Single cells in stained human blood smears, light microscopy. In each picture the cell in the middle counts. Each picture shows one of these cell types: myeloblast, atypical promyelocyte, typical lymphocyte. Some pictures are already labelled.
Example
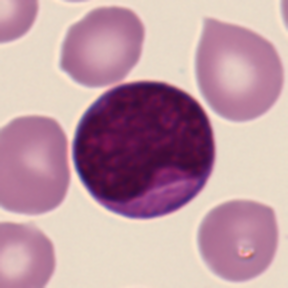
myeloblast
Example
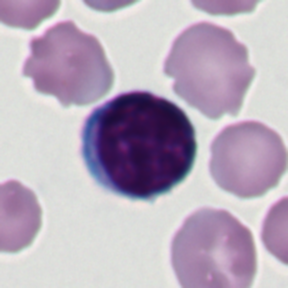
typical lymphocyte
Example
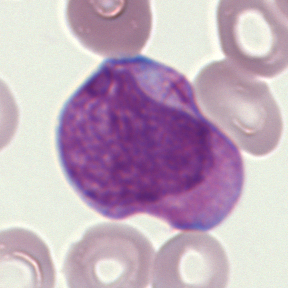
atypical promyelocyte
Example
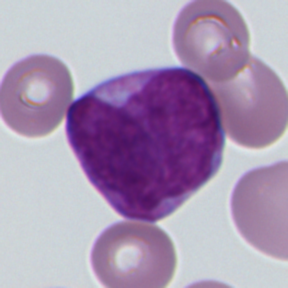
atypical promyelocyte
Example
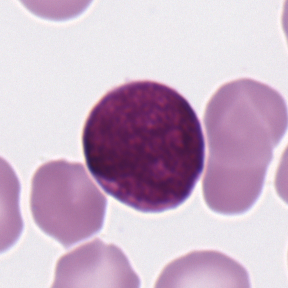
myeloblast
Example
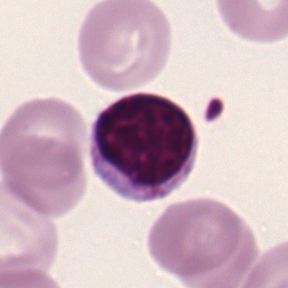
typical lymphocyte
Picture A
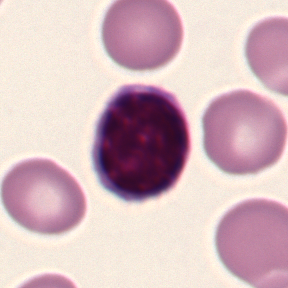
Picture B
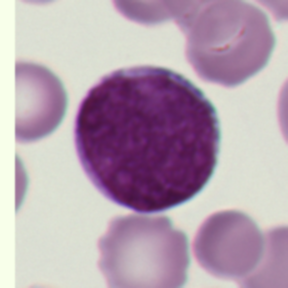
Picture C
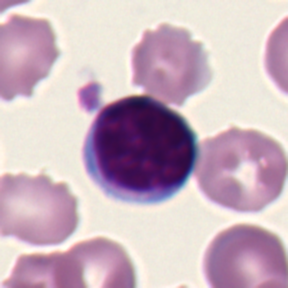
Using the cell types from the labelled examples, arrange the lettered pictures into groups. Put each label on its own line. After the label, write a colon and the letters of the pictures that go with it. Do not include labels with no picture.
myeloblast: B
typical lymphocyte: A, C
